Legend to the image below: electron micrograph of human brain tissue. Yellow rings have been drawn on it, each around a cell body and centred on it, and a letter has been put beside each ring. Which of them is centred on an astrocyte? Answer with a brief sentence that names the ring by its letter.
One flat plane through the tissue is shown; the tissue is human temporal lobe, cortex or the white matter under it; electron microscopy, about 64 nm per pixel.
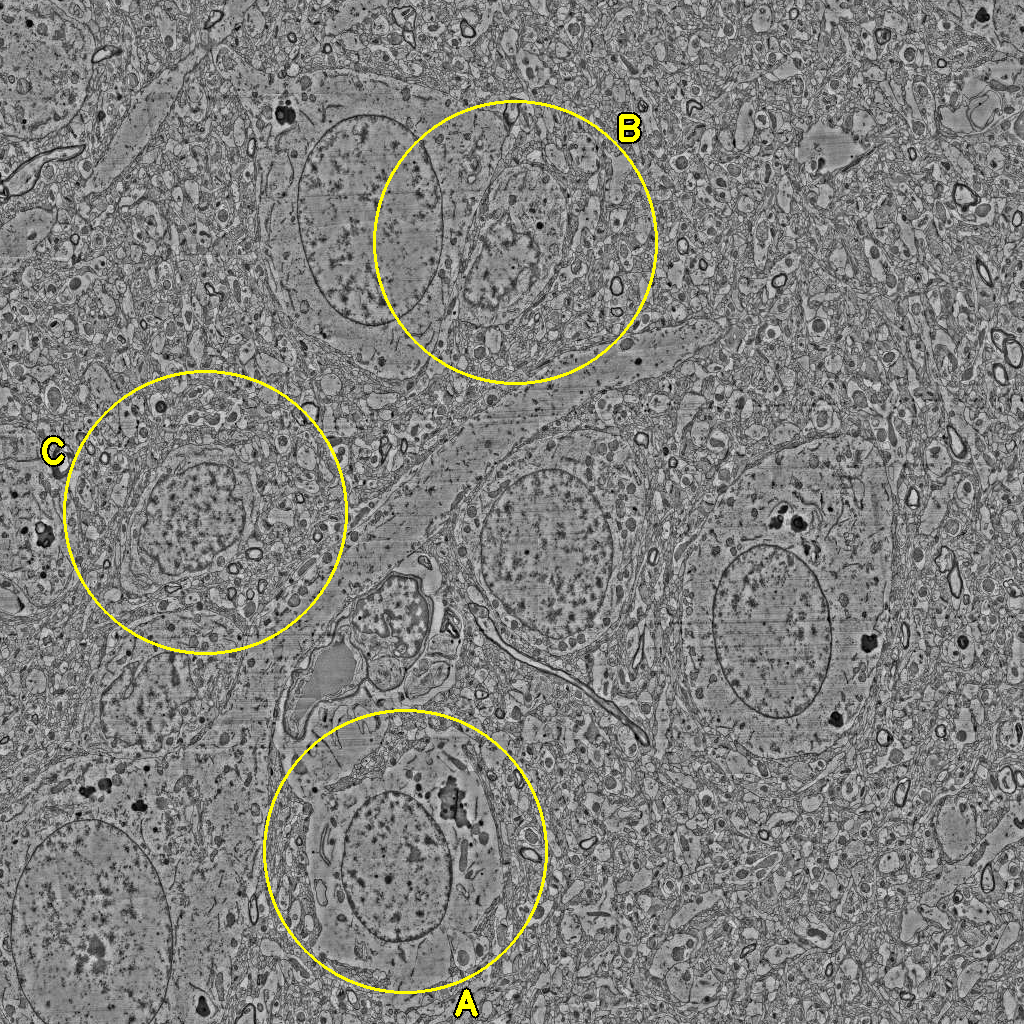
It is the ring lettered A.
